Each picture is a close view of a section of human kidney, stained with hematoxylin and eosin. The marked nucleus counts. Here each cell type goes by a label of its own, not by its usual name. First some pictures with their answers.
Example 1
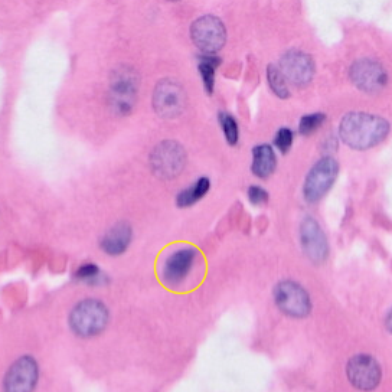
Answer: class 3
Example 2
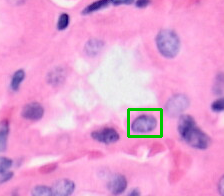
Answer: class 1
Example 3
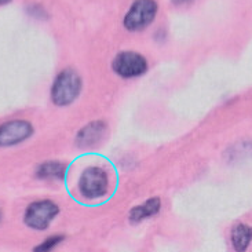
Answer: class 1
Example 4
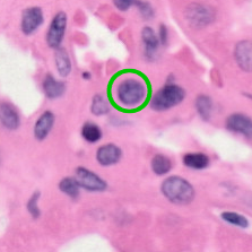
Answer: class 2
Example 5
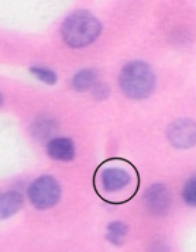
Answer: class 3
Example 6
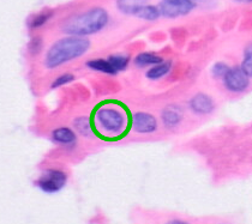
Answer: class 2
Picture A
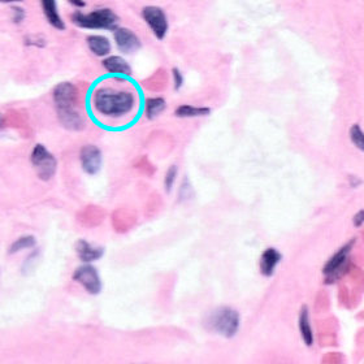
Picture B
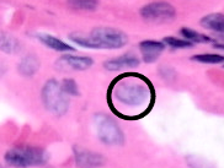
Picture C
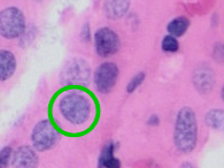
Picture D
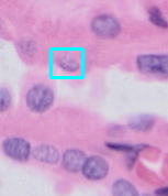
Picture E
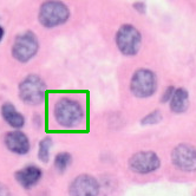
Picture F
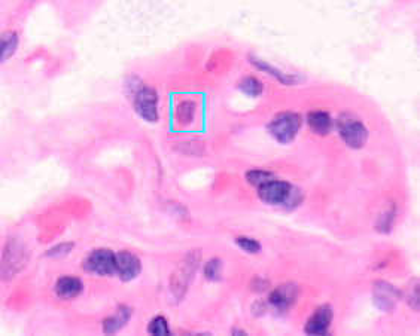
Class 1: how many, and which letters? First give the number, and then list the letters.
3, namely B, D, E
